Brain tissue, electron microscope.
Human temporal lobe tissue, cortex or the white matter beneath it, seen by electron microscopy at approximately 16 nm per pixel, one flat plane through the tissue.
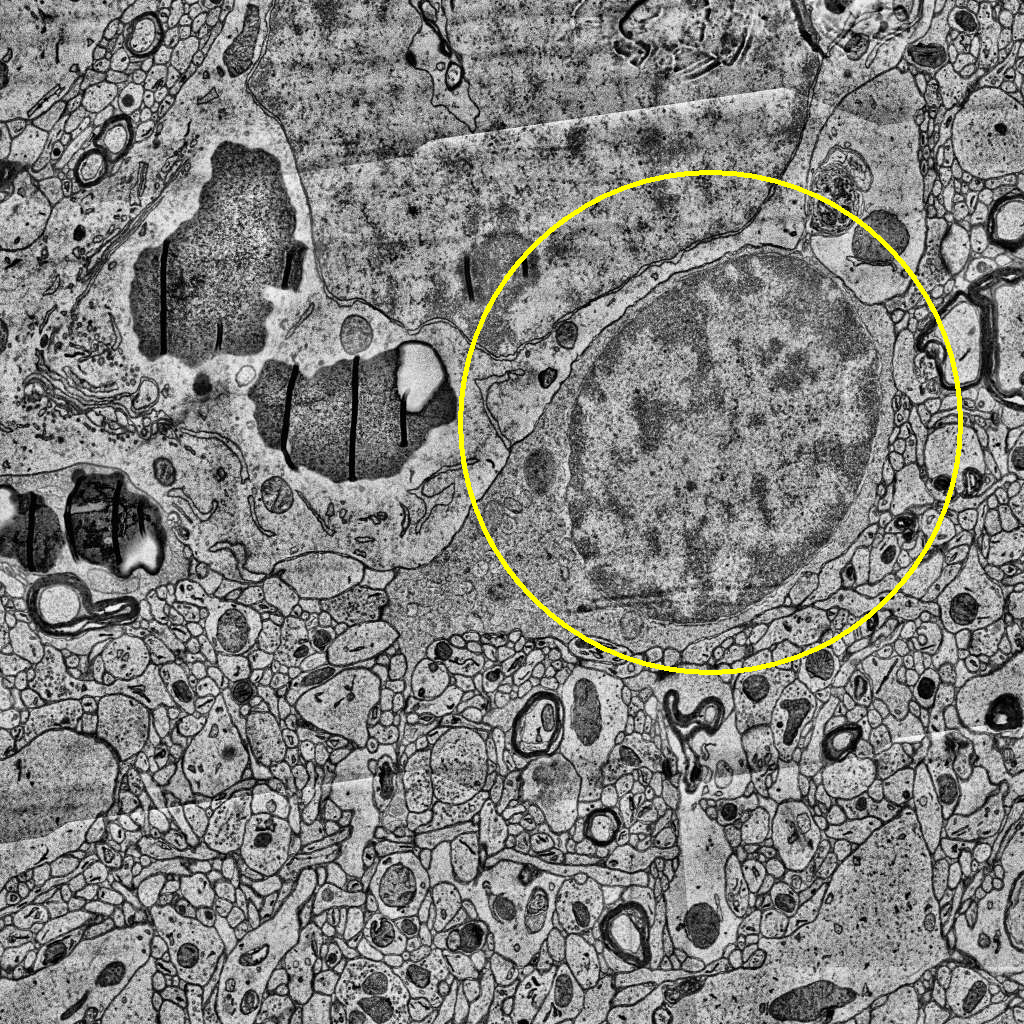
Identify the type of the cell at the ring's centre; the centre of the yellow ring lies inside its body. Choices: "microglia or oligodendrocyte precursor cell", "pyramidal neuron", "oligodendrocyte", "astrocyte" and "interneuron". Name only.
oligodendrocyte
